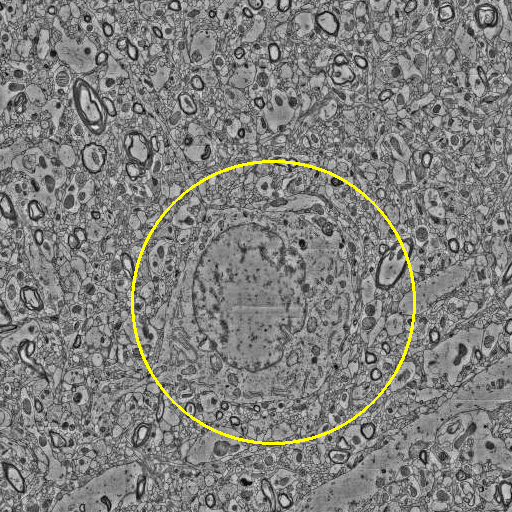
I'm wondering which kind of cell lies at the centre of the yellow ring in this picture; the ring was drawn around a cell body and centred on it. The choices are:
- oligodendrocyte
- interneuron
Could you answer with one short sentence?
At the centre of the ring lies an interneuron.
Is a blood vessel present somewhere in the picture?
No, a blood vessel is absent from this picture.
